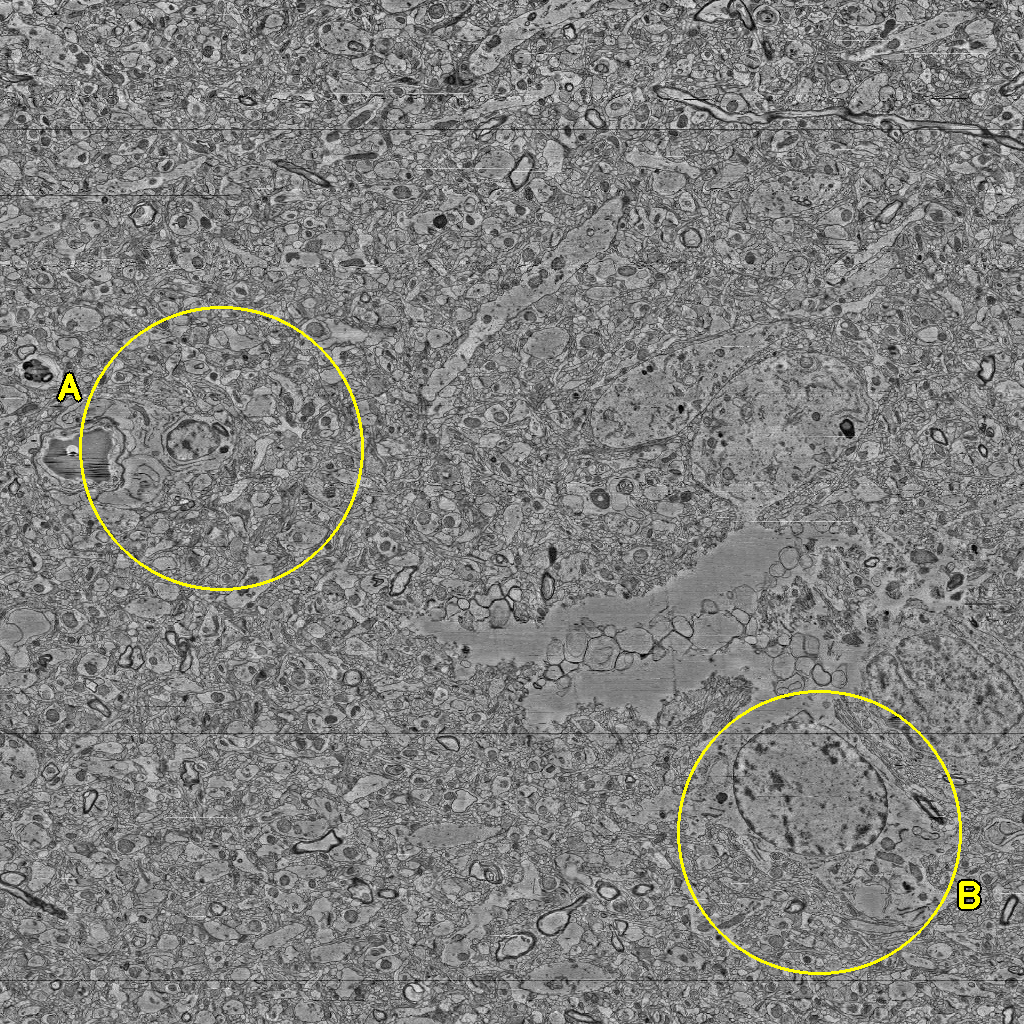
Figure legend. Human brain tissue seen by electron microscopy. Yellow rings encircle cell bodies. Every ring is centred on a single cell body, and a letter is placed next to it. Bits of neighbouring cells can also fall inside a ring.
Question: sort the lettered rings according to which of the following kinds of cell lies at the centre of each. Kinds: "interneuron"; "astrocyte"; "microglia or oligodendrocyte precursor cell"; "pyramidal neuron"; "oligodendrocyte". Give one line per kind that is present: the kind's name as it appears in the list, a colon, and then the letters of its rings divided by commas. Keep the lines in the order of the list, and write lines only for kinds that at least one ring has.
astrocyte: B
microglia or oligodendrocyte precursor cell: A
